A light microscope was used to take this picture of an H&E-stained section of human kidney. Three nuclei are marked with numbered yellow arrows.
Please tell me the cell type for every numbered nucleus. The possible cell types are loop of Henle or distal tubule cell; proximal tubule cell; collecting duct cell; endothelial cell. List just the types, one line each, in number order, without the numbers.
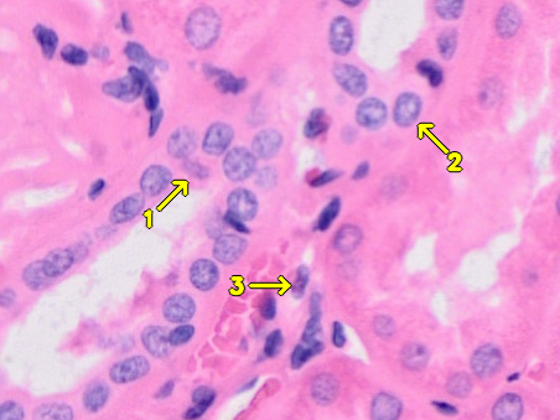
collecting duct cell
collecting duct cell
endothelial cell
